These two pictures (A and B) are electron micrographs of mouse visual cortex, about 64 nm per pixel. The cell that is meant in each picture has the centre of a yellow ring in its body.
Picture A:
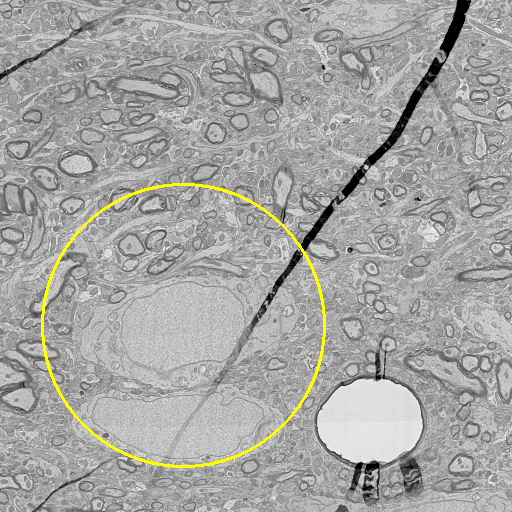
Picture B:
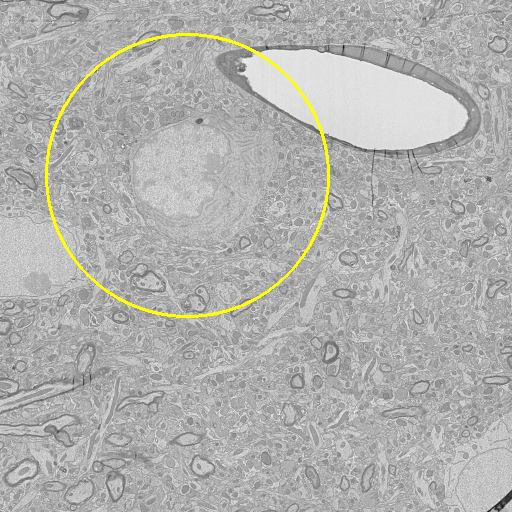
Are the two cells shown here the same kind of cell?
No. Picture A shows an excitatory neuron, but picture B shows an oligodendrocyte.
